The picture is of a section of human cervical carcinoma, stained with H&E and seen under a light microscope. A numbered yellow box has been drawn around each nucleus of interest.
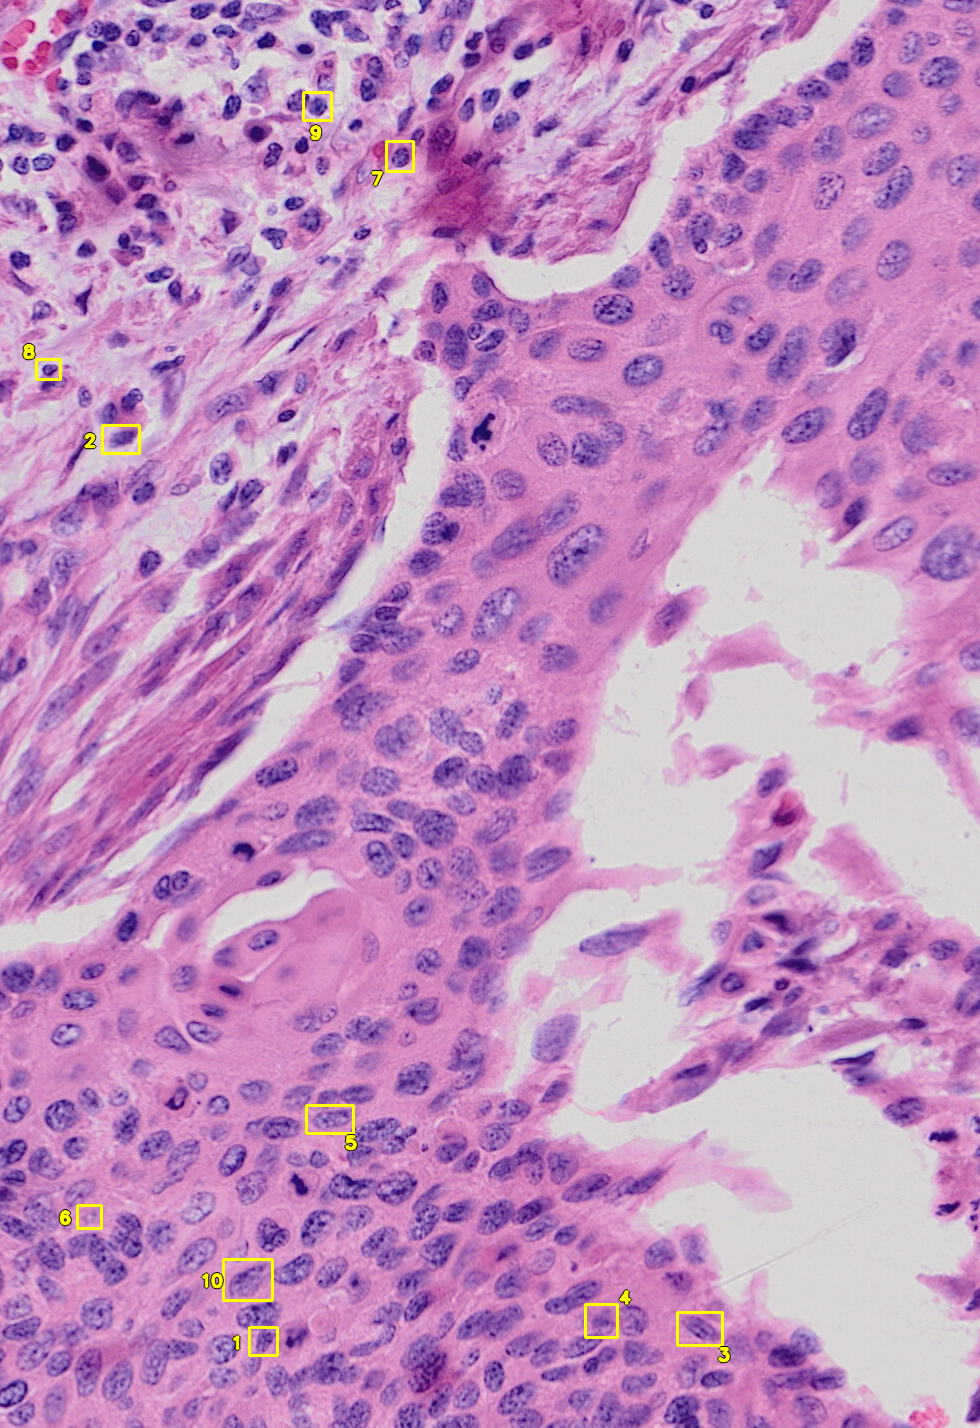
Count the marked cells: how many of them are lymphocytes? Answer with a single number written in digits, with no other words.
4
